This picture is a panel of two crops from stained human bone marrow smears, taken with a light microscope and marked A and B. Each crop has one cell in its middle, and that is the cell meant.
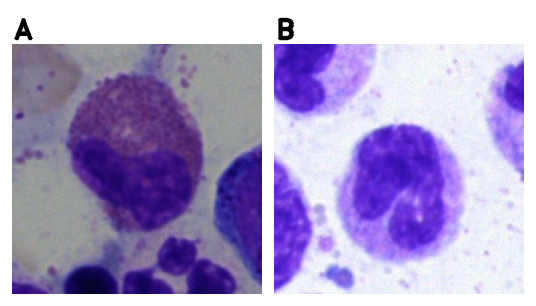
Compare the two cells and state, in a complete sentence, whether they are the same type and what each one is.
No, the assignment should read crop A, an eosinophil; crop B, a neutrophil.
